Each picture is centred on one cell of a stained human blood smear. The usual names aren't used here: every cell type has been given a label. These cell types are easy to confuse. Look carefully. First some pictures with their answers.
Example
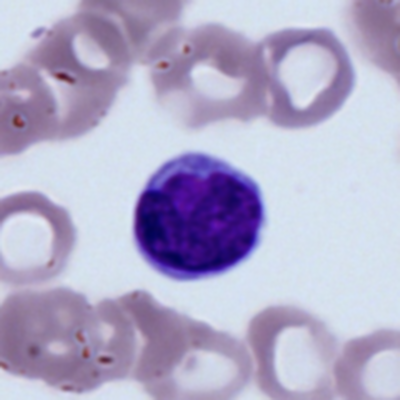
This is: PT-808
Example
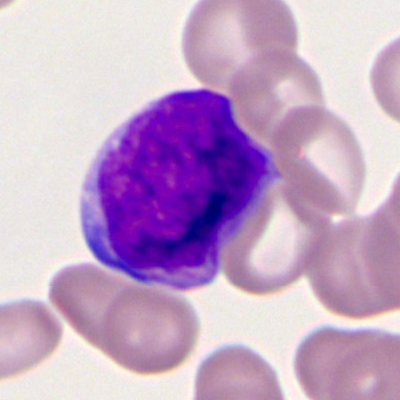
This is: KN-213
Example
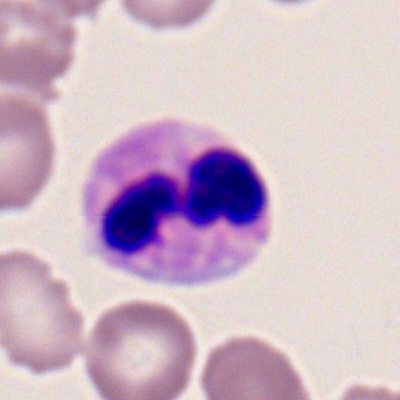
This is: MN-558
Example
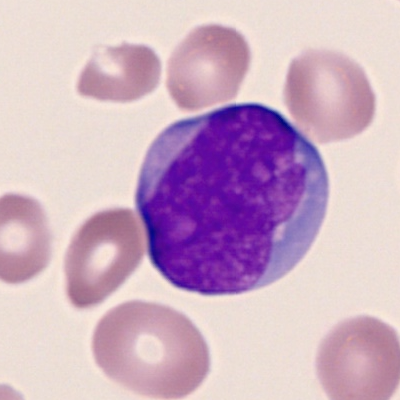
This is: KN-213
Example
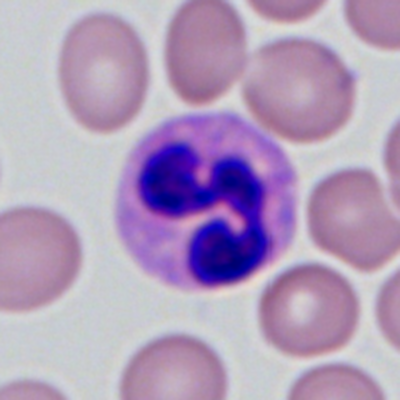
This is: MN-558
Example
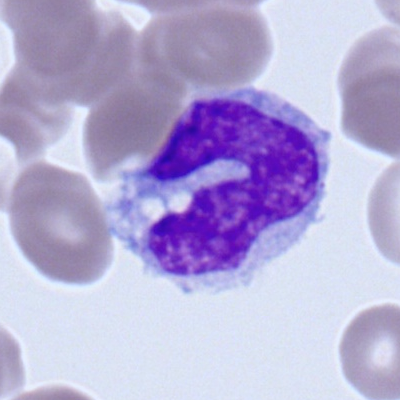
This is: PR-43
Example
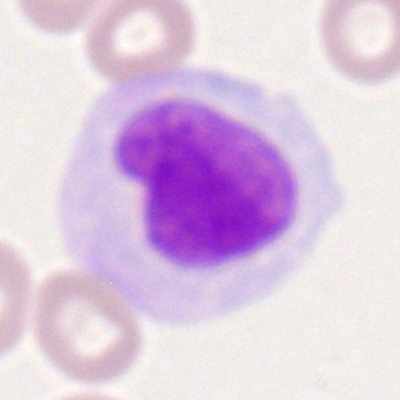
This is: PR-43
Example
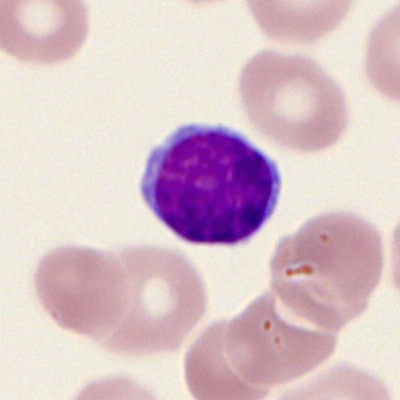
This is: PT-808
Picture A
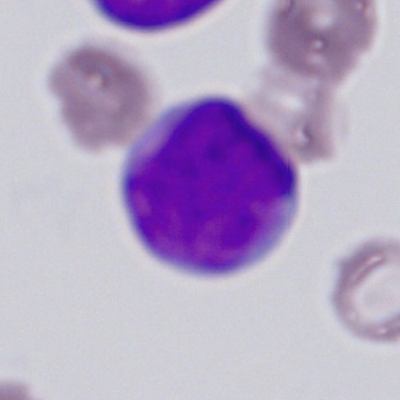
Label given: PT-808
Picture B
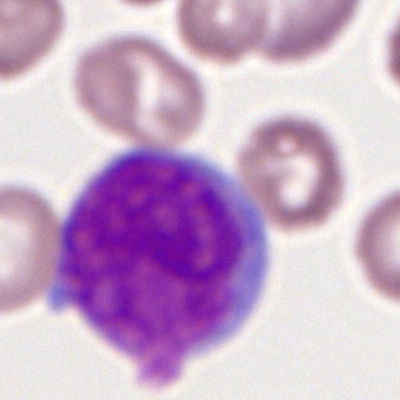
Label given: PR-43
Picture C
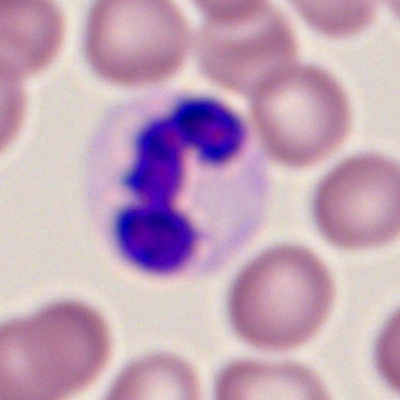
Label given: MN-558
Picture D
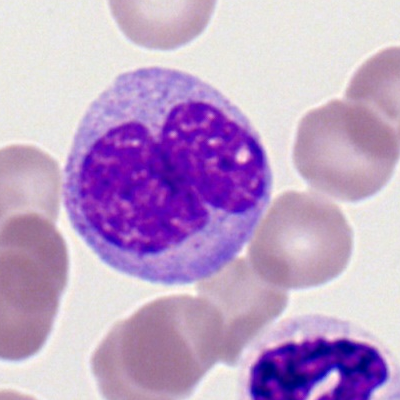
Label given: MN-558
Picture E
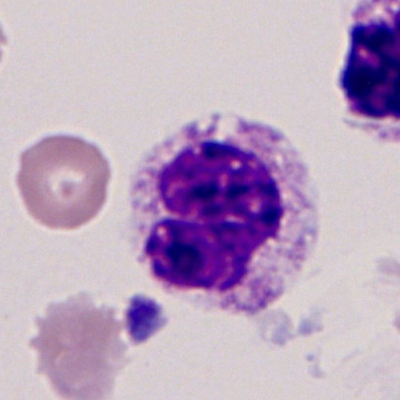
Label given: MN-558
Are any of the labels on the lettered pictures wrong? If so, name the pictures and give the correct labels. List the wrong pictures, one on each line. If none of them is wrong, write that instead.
A: not PT-808 but KN-213
D: not MN-558 but PR-43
